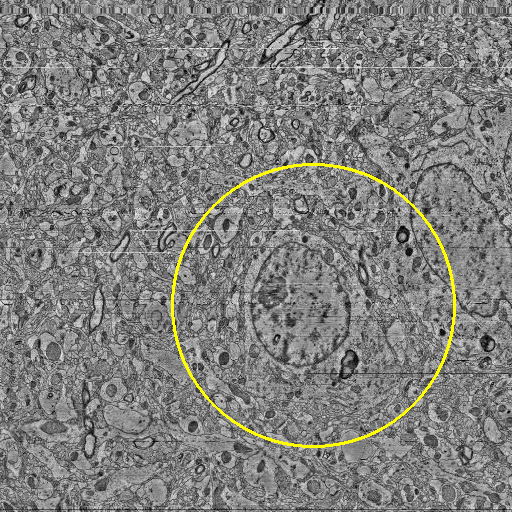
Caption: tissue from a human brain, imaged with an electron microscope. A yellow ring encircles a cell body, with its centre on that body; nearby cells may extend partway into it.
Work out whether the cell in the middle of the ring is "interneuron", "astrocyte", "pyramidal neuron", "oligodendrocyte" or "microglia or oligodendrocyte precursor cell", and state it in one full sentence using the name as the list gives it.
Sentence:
In the picture, the cell that the yellow ring surrounds at its centre is a pyramidal neuron.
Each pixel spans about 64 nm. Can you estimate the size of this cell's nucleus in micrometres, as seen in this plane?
In this plane, the nucleus of the cell at the centre of the ring measures about 8 by 6 micrometres.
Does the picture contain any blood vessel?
No, no vessel shows anywhere in the image.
